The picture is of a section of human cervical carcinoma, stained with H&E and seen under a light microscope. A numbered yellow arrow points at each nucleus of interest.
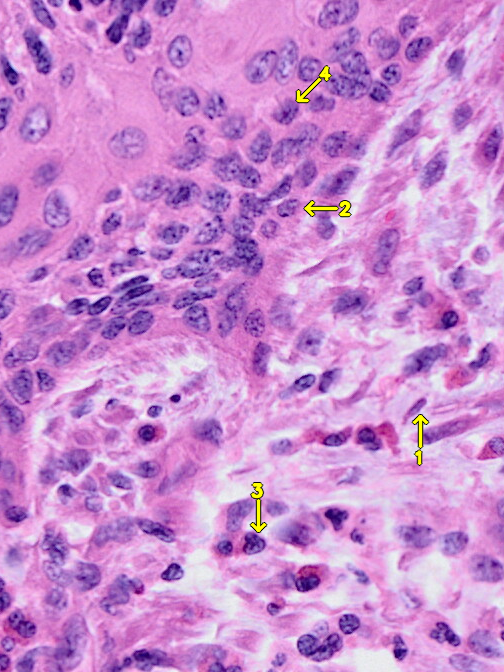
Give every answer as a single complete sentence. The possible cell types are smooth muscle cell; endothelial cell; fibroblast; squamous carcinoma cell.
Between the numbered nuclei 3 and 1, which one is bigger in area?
At about 2.5 times the area of nucleus 1, nucleus 3 is the larger of the two.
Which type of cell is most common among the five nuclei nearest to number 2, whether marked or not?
Squamous carcinoma cells account for more than half of the five nuclei nearest to number 2.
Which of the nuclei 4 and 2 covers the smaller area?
Nucleus 2 is the smaller one; nucleus 4 covers about 1.5 times its area.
